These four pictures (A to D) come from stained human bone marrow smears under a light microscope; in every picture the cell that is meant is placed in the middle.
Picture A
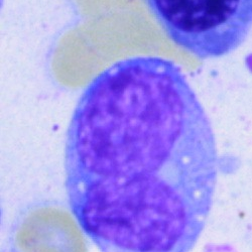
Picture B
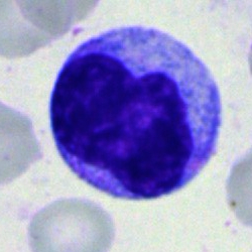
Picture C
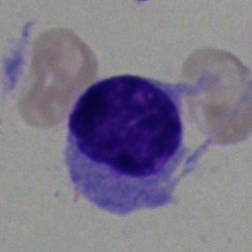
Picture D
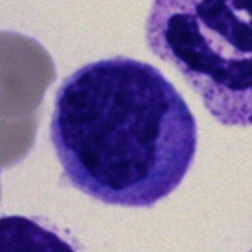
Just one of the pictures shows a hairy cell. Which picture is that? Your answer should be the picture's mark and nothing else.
C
